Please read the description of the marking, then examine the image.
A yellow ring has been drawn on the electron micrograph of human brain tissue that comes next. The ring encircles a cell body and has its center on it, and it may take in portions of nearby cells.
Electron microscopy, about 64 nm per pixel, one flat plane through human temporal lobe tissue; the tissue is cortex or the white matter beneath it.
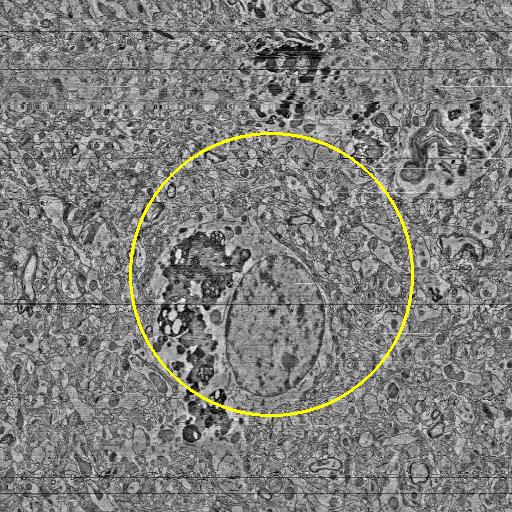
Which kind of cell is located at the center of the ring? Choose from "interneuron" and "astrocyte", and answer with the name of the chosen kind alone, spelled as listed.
astrocyte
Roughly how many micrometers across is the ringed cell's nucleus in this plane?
About 9 by 6 micrometers in this plane, so the nucleus is clearly longer than it is wide.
